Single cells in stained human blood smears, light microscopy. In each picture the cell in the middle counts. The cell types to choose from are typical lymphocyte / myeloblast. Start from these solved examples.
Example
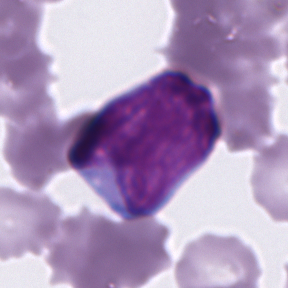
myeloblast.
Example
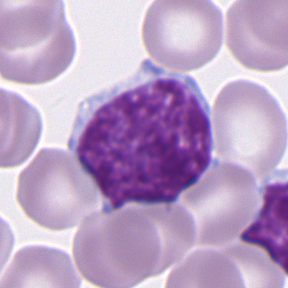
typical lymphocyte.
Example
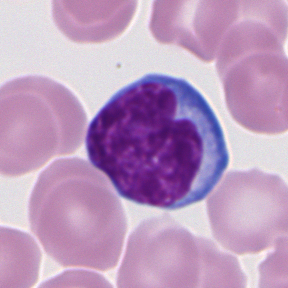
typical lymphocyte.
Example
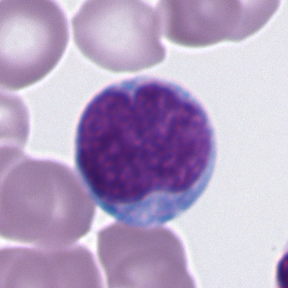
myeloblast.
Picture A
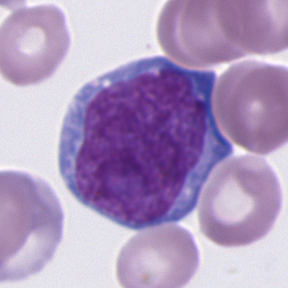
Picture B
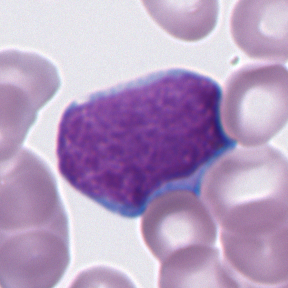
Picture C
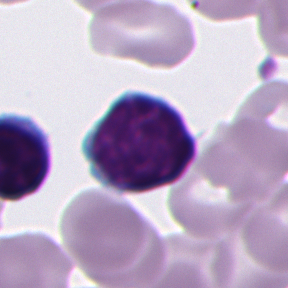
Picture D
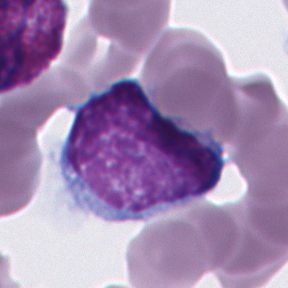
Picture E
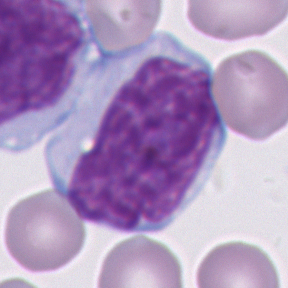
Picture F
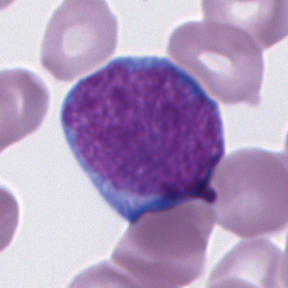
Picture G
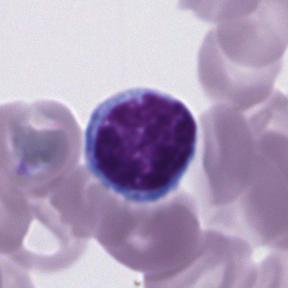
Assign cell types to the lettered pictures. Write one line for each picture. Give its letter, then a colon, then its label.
A: myeloblast.
B: myeloblast.
C: typical lymphocyte.
D: typical lymphocyte.
E: myeloblast.
F: myeloblast.
G: typical lymphocyte.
